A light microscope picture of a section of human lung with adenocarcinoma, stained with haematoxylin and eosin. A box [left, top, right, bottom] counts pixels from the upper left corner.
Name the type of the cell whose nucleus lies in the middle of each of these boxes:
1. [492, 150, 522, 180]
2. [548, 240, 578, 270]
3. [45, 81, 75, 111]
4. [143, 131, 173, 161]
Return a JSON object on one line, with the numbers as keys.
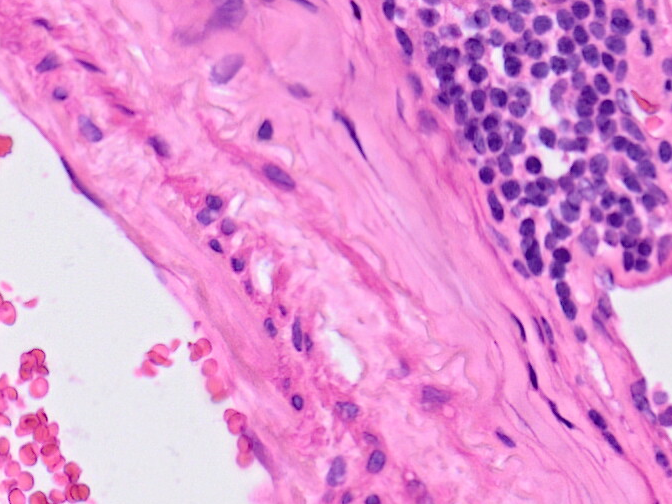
{"1": "lymphocyte", "2": "lymphocyte", "3": "smooth muscle cell or pericyte", "4": "smooth muscle cell or pericyte"}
